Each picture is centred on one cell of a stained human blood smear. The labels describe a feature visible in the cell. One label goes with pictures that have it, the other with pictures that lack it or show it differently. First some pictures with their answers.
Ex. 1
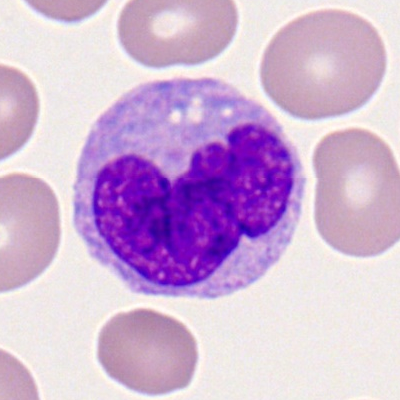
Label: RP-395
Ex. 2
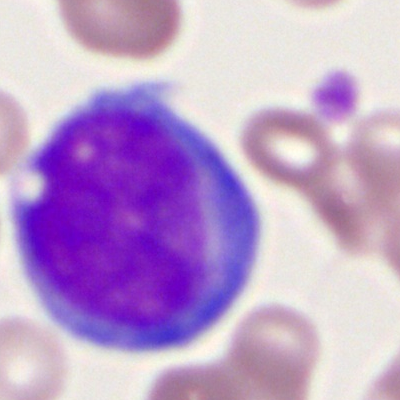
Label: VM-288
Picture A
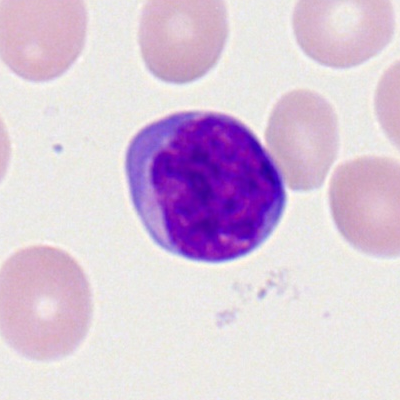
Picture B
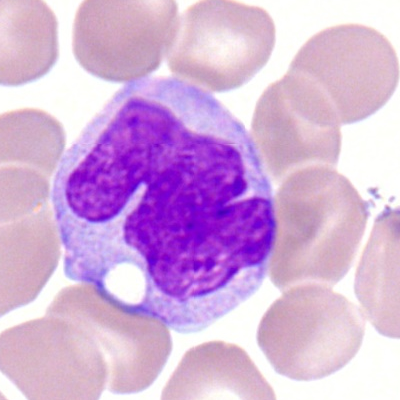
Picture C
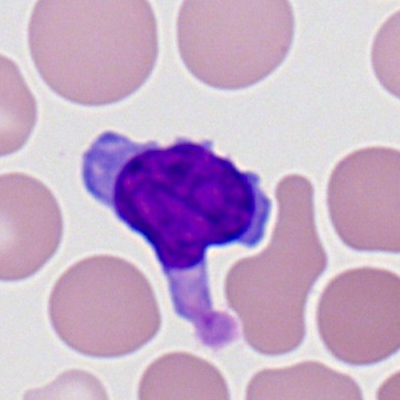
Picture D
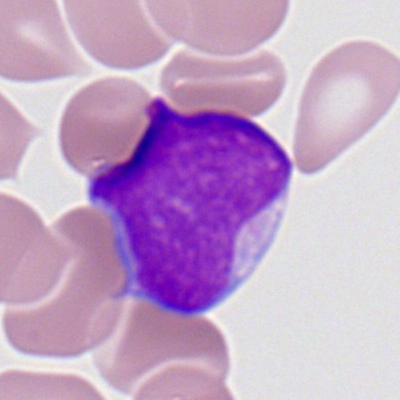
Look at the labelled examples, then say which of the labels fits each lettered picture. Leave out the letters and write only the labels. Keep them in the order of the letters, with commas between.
RP-395, RP-395, VM-288, VM-288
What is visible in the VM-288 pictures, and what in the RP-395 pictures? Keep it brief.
In VM-288: ragged outline or projections. In RP-395: smooth outline.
